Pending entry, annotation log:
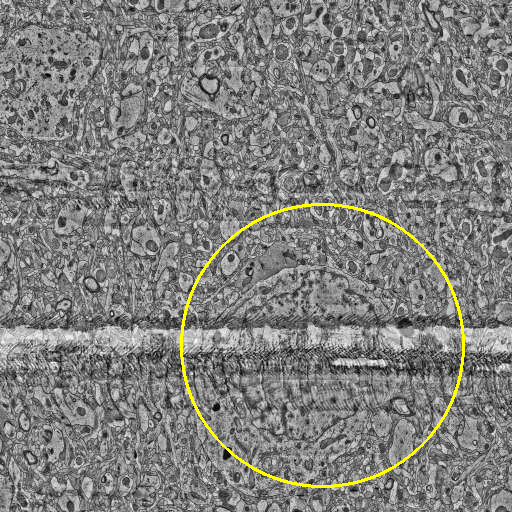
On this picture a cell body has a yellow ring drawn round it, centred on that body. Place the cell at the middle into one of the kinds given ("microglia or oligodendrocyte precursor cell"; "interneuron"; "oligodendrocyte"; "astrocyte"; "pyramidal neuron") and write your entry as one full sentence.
The cell body at the middle of the yellow ring belongs to an interneuron.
